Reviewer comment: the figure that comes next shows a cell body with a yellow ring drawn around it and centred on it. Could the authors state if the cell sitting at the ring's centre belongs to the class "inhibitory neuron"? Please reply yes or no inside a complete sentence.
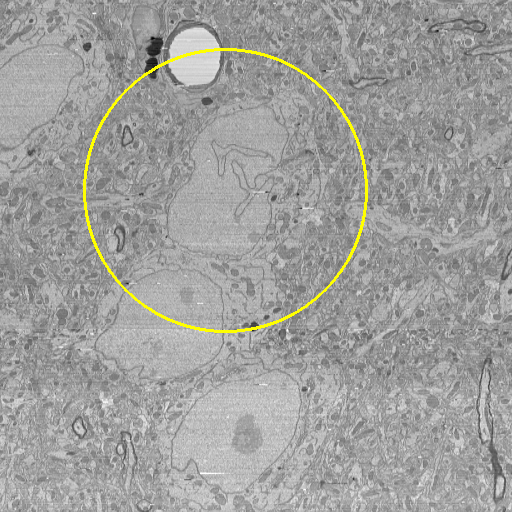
Yes, in the figure, the cell at the ring's centre belongs to that class.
